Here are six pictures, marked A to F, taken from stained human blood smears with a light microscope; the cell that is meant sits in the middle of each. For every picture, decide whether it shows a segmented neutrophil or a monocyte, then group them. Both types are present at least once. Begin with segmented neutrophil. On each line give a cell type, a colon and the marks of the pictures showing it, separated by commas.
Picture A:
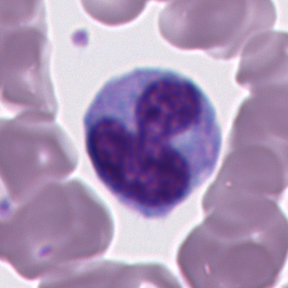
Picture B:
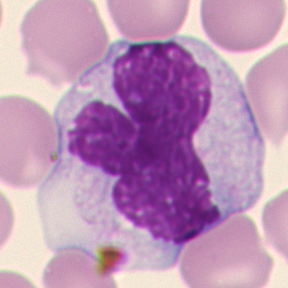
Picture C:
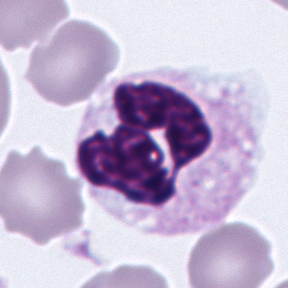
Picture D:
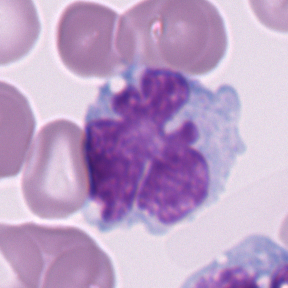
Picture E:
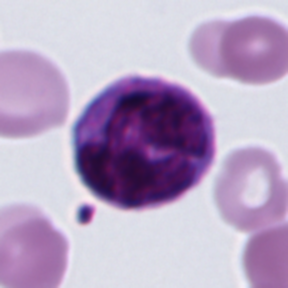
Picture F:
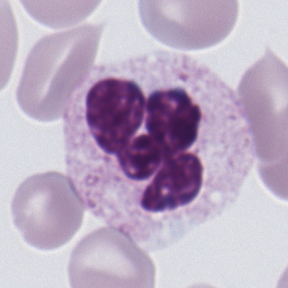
segmented neutrophil: C, F
monocyte: A, B, D, E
